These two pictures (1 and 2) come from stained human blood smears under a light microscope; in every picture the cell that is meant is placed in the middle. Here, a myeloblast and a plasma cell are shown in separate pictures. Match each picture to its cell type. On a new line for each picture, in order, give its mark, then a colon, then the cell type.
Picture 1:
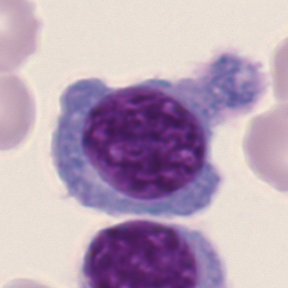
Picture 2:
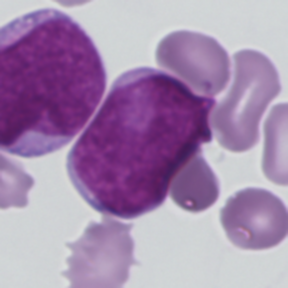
1: plasma cell
2: myeloblast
